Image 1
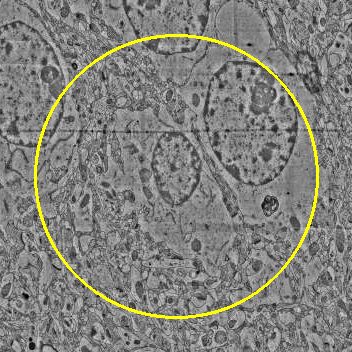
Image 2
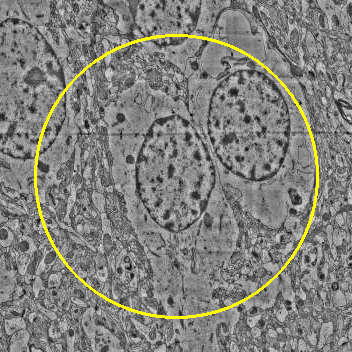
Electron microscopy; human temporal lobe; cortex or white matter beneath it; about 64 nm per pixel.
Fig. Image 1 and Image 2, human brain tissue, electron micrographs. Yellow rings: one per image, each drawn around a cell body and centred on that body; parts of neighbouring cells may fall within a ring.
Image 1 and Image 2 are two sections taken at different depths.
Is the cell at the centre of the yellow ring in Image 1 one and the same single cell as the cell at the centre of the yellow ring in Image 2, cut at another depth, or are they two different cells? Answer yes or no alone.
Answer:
yes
